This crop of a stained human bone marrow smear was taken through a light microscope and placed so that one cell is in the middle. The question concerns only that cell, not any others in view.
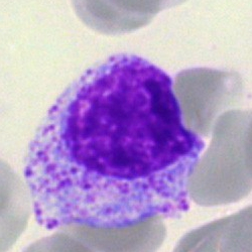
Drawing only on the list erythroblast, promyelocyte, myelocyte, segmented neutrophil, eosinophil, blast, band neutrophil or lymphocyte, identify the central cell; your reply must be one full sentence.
The central cell in this smear crop is a myelocyte.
